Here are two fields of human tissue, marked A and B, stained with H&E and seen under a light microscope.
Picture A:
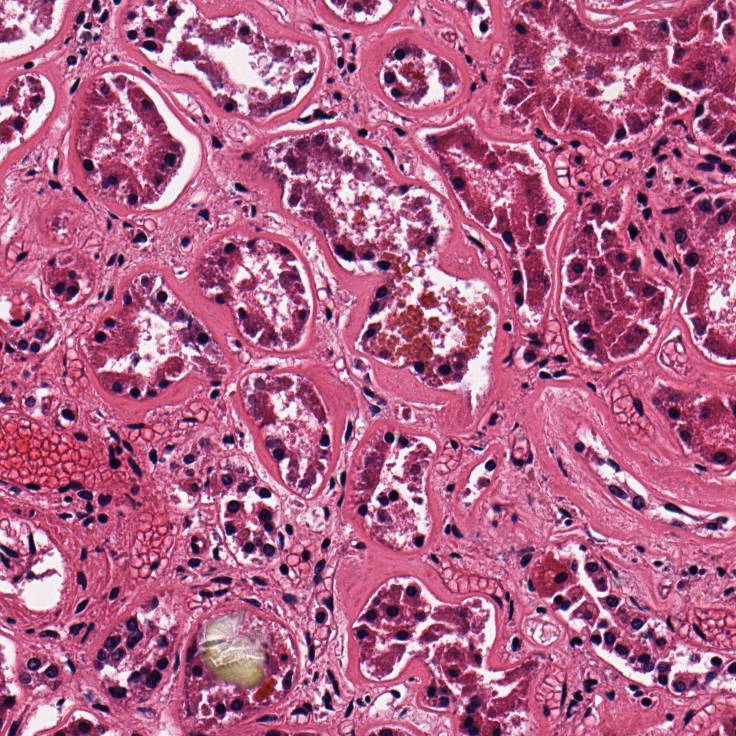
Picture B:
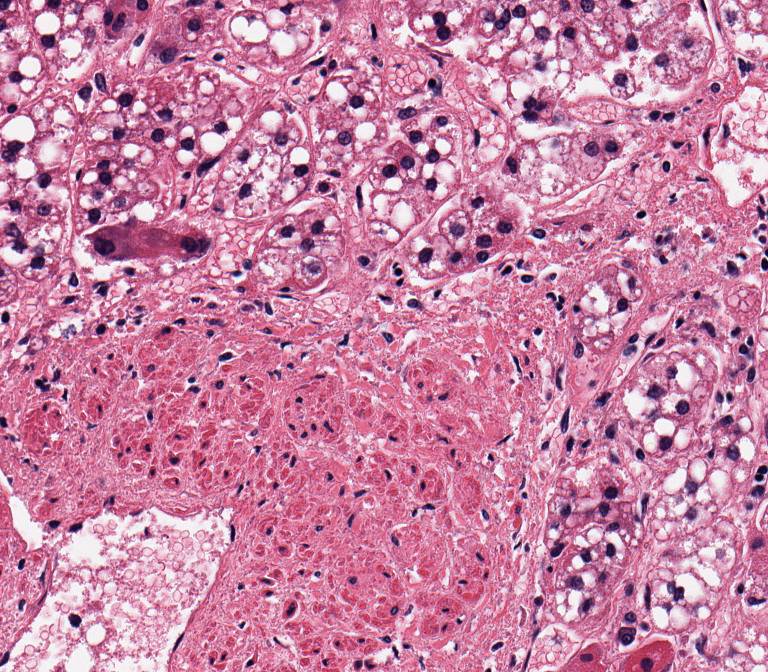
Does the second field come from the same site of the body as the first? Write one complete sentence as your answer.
No, picture A comes from the renal cortex and picture B comes from the adrenal gland.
